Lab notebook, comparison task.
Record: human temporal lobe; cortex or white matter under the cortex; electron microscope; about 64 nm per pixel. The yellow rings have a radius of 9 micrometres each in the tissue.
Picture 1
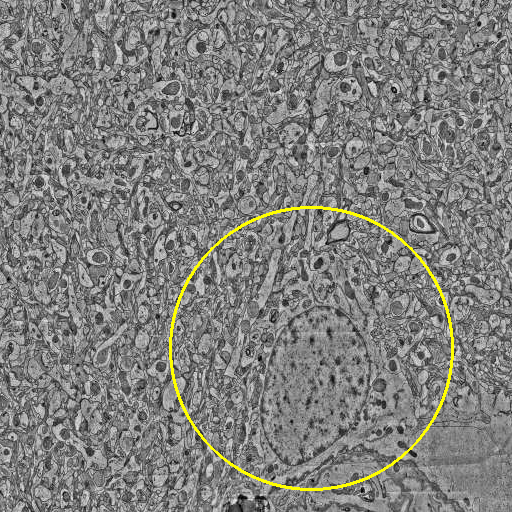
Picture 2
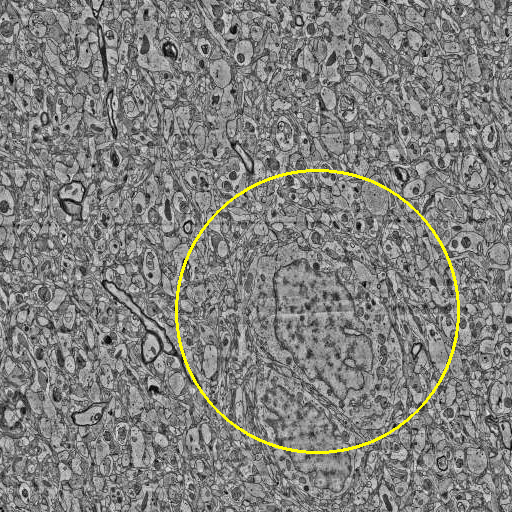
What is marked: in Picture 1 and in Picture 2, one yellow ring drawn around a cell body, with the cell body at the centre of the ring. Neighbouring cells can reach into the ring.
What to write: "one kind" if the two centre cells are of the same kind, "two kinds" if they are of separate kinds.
two kinds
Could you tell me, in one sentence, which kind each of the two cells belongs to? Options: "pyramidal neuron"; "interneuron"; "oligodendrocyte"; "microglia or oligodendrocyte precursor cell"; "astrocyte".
At the centre of the first ring sits an astrocyte, and at the centre of the second sits an interneuron.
